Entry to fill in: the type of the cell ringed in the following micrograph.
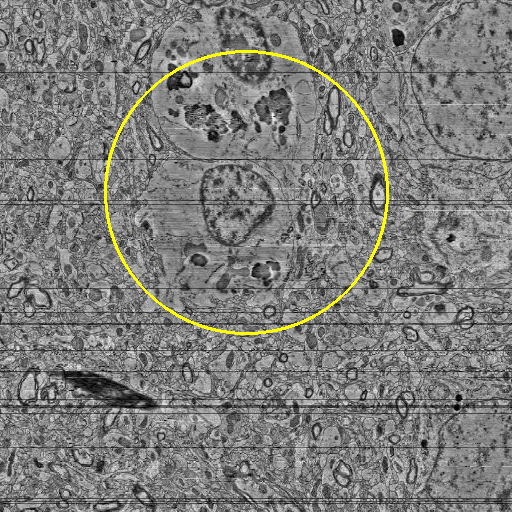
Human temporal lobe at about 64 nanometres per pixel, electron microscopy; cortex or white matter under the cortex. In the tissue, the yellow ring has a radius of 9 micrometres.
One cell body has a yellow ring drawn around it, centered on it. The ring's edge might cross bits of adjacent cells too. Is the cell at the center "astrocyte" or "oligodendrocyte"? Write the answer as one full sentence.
This entry names an astrocyte as the cell whose body lies at the ring's center.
